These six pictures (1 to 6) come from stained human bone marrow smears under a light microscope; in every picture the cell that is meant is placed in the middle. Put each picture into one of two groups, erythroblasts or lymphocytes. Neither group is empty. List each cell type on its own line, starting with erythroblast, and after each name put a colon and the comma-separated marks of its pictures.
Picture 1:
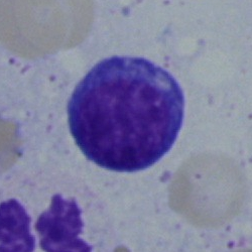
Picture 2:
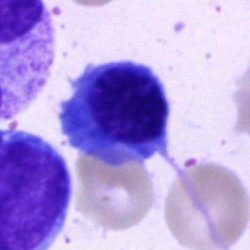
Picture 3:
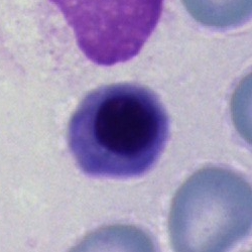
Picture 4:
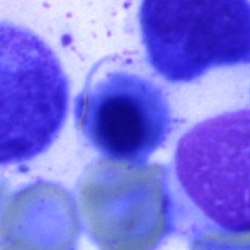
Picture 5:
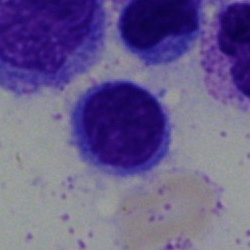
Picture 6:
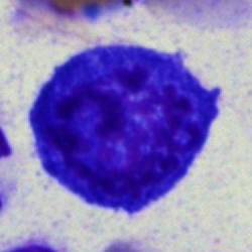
erythroblast: 2, 3, 4, 6
lymphocyte: 1, 5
